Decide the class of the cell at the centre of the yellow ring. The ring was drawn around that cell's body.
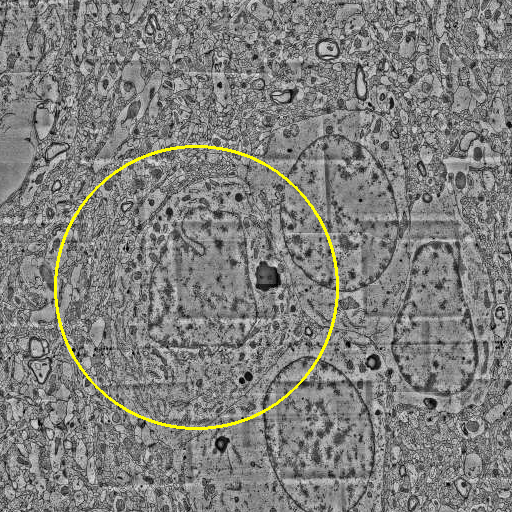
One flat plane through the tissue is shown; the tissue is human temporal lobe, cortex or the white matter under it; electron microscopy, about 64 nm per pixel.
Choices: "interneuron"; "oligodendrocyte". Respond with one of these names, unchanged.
interneuron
